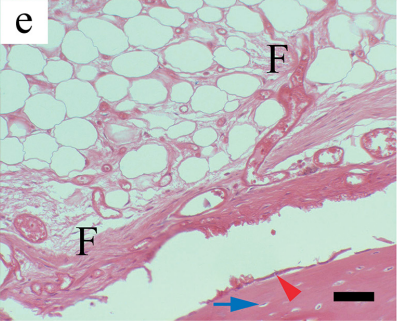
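This field shows mostly soft tissue, fat and fibrous tissue, with a strip of bone only along the bottom right. The upper left is filled with large, clear, polygonal fat cells with thin walls. Bands of pink fibrous connective tissue with elongated nuclei and small blood vessels run diagonally through the middle. The bone strip below is pink with scattered osteocyte lacunae.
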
